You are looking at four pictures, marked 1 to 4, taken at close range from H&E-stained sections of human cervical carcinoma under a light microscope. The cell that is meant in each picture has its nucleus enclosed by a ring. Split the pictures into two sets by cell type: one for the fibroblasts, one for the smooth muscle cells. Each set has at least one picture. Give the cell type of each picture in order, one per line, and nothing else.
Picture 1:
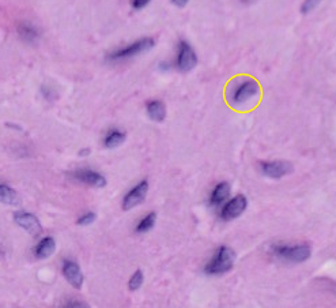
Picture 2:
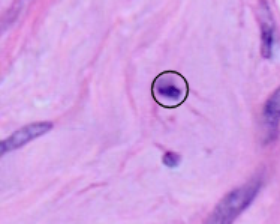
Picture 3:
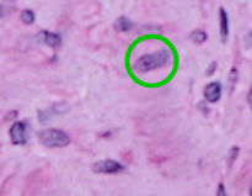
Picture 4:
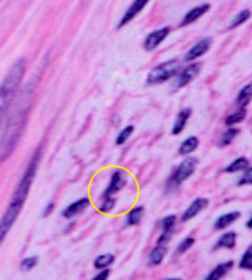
fibroblast
fibroblast
smooth muscle cell
smooth muscle cell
